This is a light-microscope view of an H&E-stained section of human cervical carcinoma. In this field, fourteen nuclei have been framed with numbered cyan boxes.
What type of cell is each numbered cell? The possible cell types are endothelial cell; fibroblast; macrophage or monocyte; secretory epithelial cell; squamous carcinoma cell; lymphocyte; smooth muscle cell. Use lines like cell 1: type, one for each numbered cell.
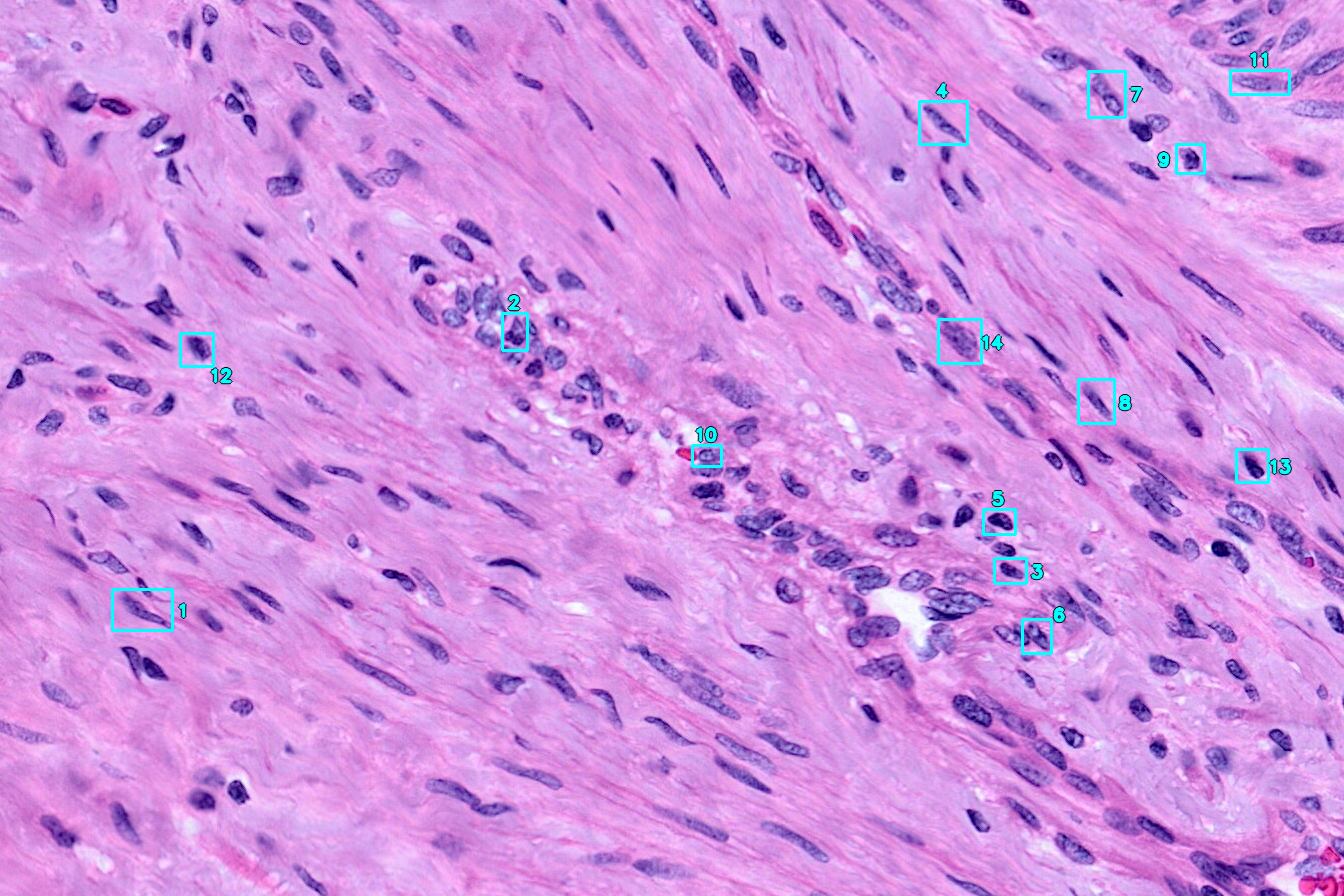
cell 1: fibroblast
cell 2: endothelial cell
cell 3: lymphocyte
cell 4: fibroblast
cell 5: lymphocyte
cell 6: smooth muscle cell
cell 7: endothelial cell
cell 8: fibroblast
cell 9: lymphocyte
cell 10: endothelial cell
cell 11: smooth muscle cell
cell 12: fibroblast
cell 13: lymphocyte
cell 14: endothelial cell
